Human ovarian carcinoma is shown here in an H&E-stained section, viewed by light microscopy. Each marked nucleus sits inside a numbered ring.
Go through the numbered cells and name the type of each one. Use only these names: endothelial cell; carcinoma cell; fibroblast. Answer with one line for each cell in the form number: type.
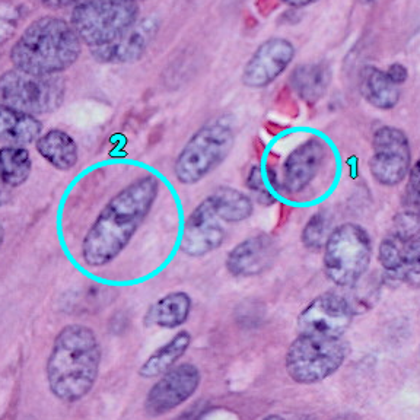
1: endothelial cell
2: fibroblast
